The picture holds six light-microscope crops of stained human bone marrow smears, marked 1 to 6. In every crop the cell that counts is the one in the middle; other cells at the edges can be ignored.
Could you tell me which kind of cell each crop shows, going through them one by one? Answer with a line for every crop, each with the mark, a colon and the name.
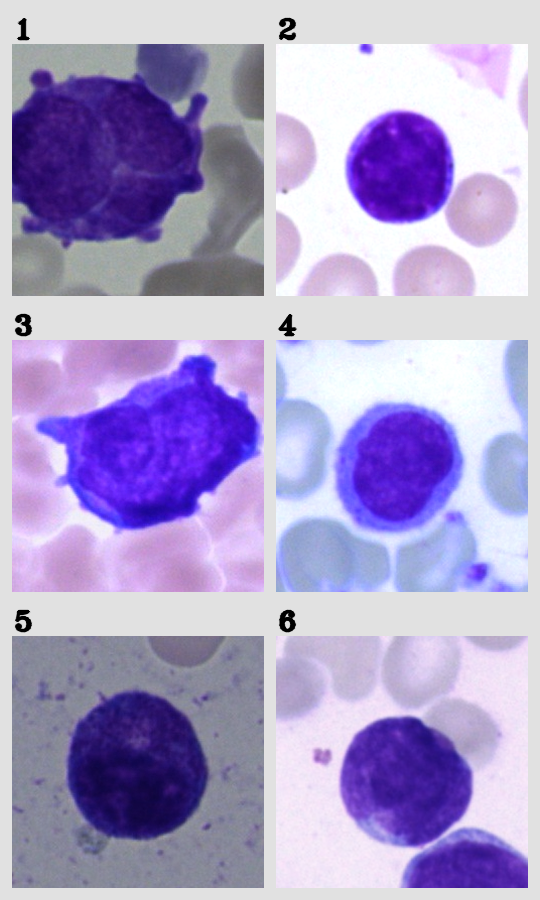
1: blast
2: lymphocyte
3: blast
4: lymphocyte
5: promyelocyte
6: blast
